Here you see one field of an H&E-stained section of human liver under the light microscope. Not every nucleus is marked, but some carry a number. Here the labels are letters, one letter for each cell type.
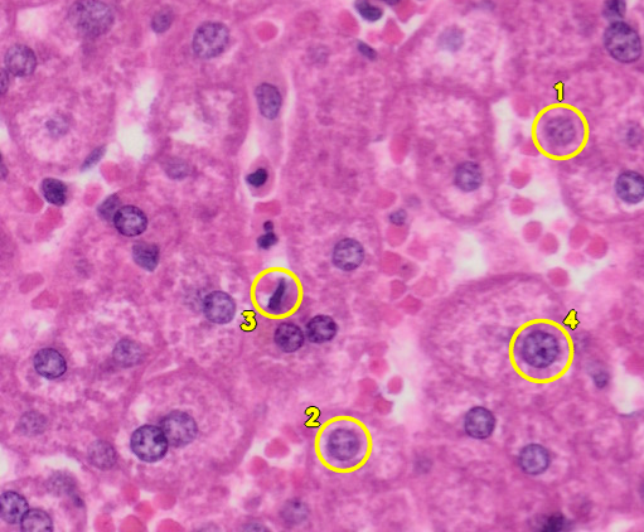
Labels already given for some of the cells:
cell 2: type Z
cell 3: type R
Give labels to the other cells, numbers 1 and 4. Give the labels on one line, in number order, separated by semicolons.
type Z; type Z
